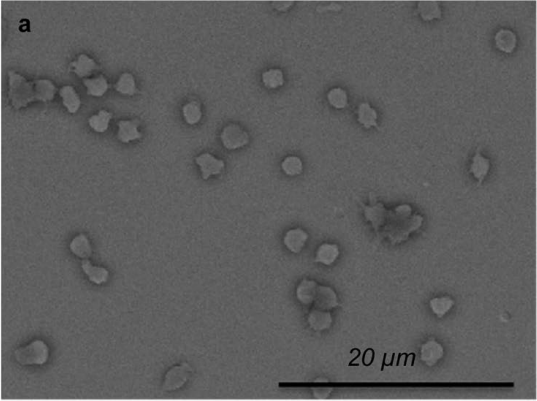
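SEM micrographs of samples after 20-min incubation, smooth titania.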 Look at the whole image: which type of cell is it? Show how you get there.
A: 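Many small rounded bodies far smaller than the scale bar lie scattered on a flat surface. Several bodies have irregular outlines with short projections. Some bodies lie in small clusters.
Conclusion: Platelet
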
